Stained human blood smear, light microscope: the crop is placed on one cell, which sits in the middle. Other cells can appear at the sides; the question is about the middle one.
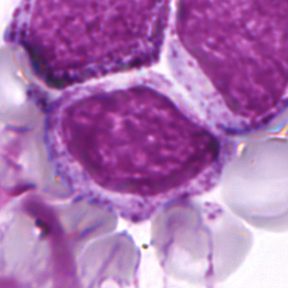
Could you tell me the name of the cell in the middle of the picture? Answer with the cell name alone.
myelocyte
